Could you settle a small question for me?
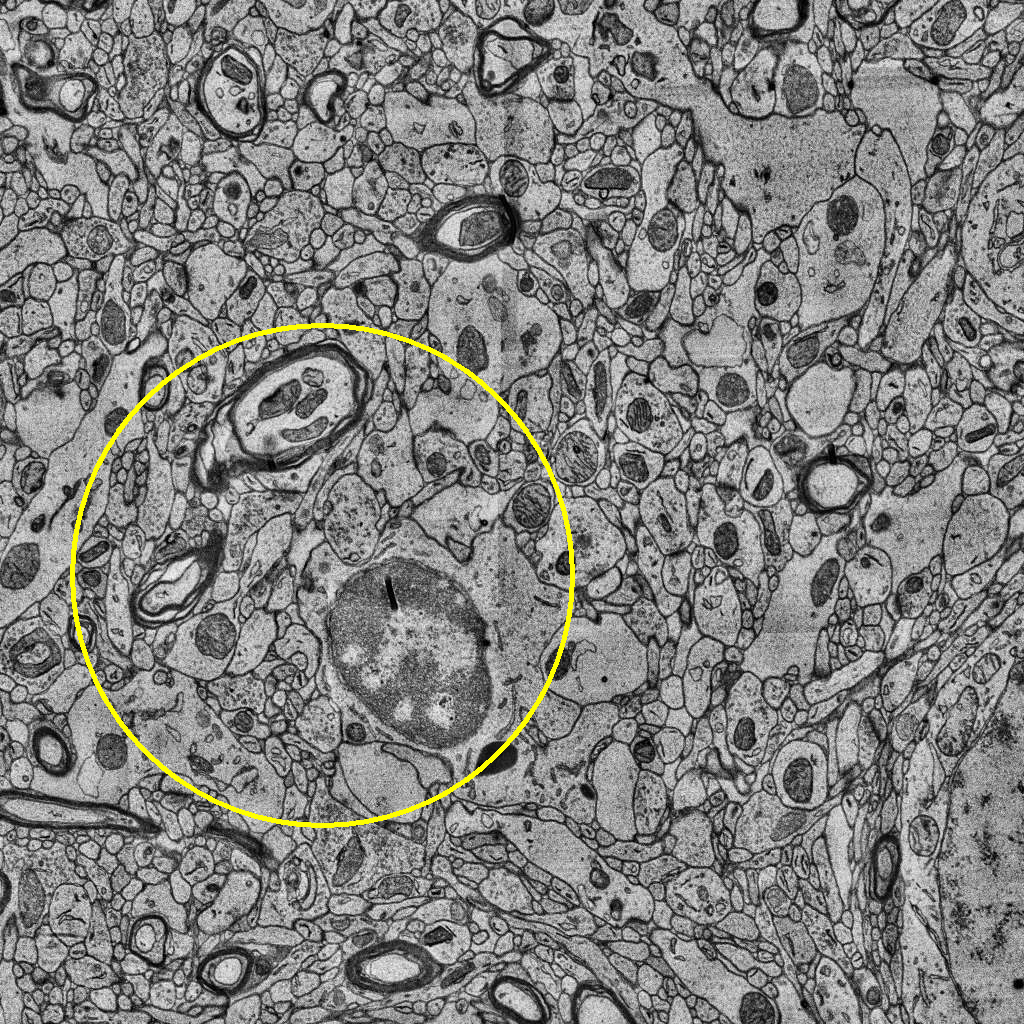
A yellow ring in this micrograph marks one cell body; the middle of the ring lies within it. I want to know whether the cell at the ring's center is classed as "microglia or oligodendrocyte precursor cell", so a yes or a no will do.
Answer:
yes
